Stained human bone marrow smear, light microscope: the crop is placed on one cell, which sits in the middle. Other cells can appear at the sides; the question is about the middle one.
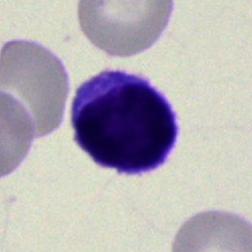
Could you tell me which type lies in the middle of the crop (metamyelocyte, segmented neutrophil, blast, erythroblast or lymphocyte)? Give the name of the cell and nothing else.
lymphocyte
